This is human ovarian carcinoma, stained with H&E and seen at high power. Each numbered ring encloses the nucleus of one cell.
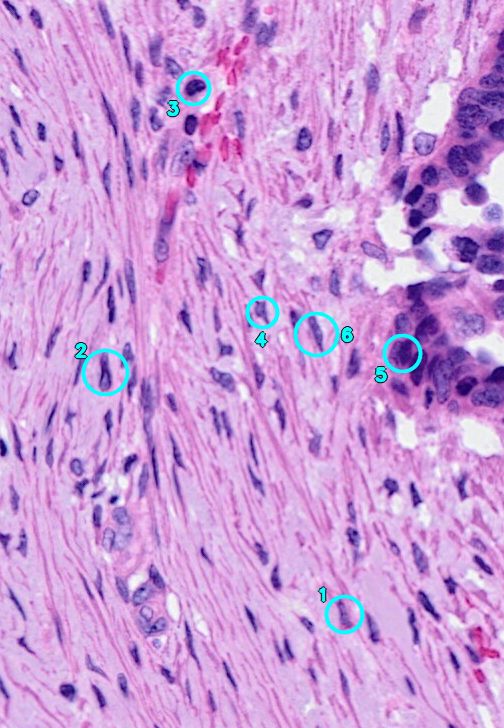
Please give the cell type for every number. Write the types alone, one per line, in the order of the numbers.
fibroblast
fibroblast
lymphocyte
fibroblast
carcinoma cell
fibroblast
